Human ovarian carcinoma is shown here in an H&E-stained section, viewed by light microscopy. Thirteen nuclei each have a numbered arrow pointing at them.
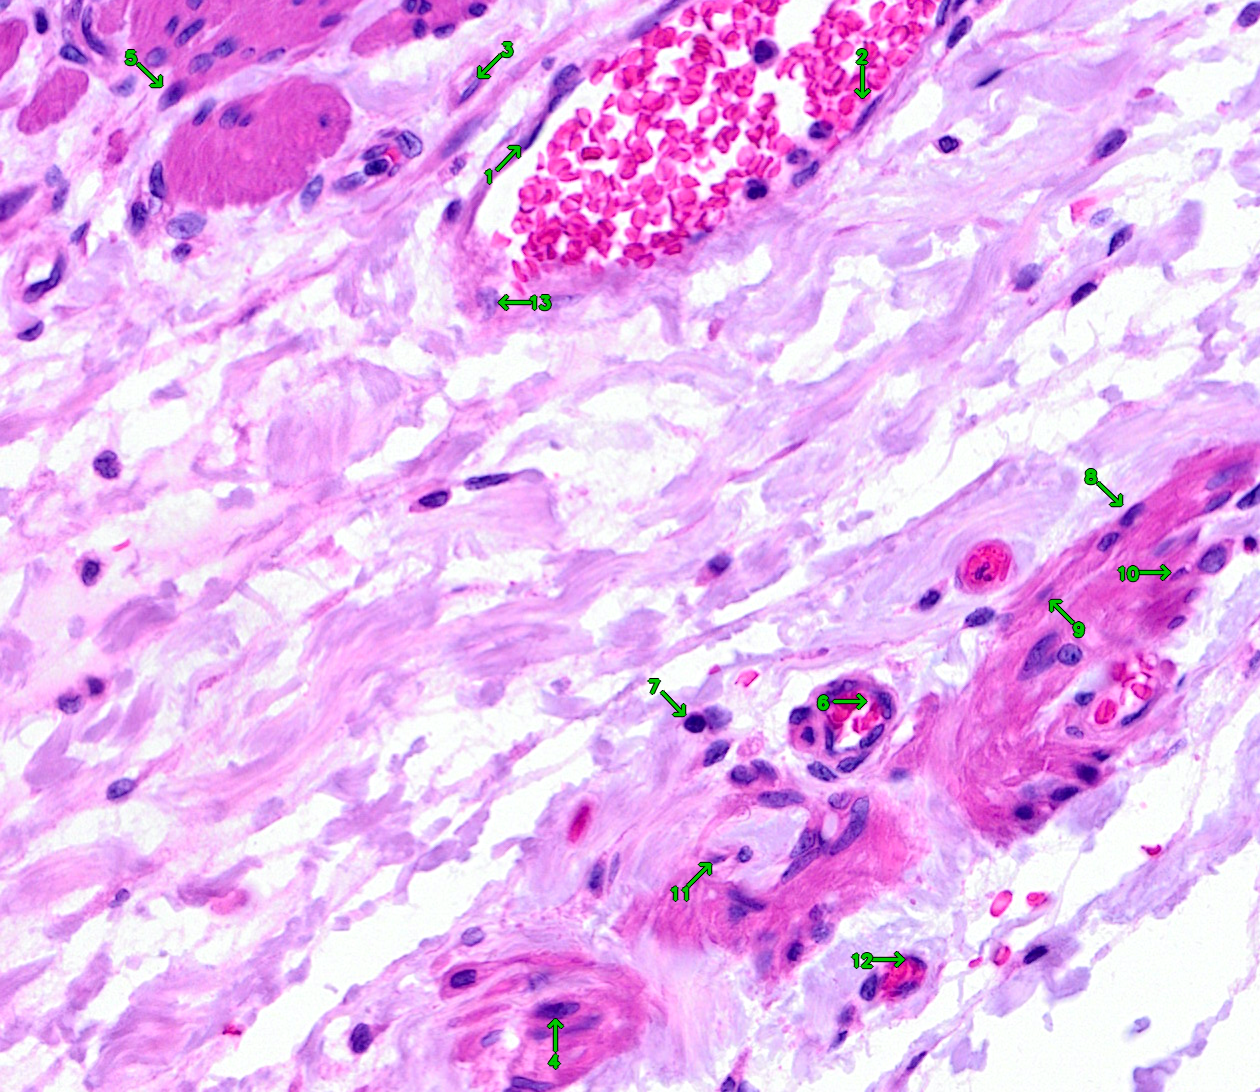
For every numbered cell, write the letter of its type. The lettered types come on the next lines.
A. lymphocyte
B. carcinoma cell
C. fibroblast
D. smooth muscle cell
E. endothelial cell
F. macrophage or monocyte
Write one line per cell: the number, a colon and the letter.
1: E
2: E
3: E
4: D
5: D
6: E
7: A
8: D
9: D
10: D
11: E
12: E
13: E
